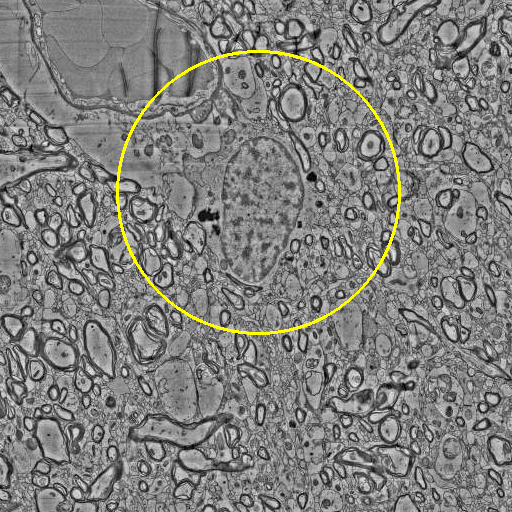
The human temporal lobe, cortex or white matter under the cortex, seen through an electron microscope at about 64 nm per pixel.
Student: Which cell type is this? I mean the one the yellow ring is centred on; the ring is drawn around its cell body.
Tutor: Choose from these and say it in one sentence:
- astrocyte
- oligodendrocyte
The cell the ring is centred on is an oligodendrocyte.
